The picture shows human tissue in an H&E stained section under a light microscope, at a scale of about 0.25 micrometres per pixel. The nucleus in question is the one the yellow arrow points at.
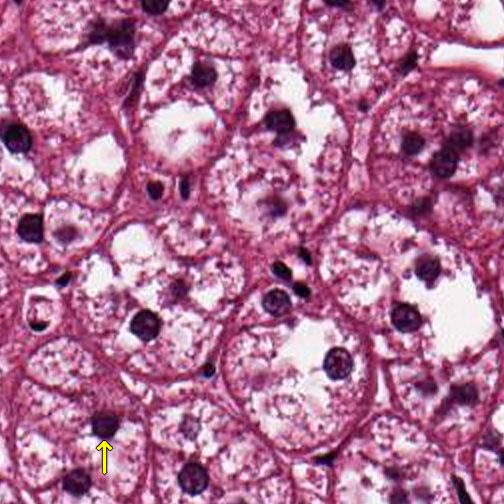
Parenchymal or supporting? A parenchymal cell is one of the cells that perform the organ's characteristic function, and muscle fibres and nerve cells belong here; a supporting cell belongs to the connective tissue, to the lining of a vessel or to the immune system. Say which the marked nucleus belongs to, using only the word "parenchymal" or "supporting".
parenchymal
